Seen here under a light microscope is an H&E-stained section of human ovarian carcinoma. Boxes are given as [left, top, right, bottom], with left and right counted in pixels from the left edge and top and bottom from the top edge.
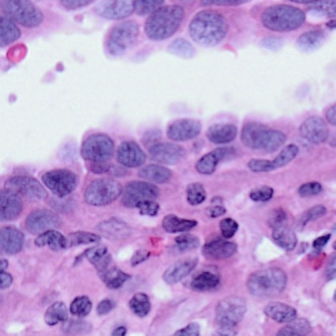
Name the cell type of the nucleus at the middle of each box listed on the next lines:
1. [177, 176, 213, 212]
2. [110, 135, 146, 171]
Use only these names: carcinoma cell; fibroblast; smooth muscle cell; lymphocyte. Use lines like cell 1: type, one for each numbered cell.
cell 1: lymphocyte
cell 2: carcinoma cell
